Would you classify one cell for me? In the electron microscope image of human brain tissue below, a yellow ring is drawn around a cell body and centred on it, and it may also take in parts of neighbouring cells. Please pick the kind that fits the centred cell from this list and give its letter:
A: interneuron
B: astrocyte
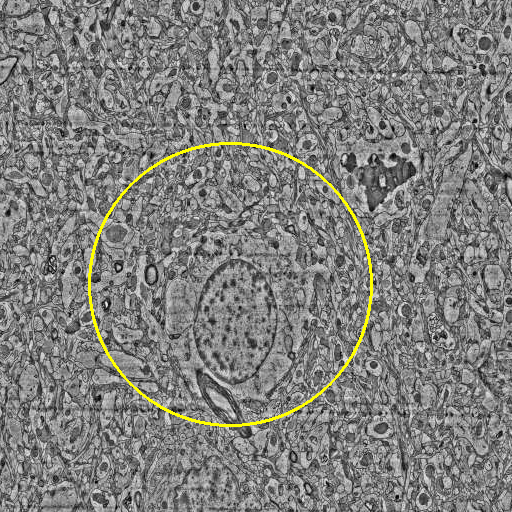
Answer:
B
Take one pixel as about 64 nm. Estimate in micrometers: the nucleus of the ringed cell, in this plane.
Roughly 8 micrometres by 5 micrometres, in this plane.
